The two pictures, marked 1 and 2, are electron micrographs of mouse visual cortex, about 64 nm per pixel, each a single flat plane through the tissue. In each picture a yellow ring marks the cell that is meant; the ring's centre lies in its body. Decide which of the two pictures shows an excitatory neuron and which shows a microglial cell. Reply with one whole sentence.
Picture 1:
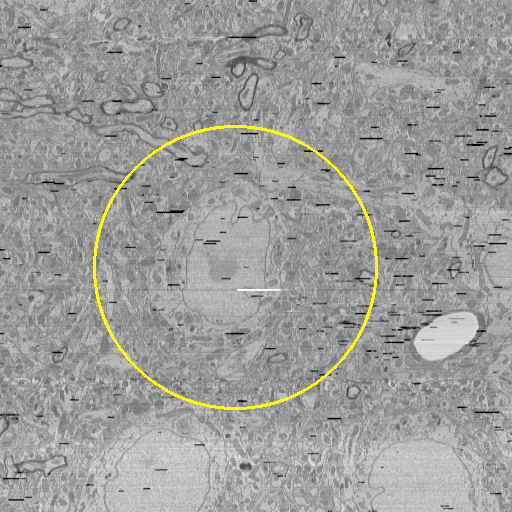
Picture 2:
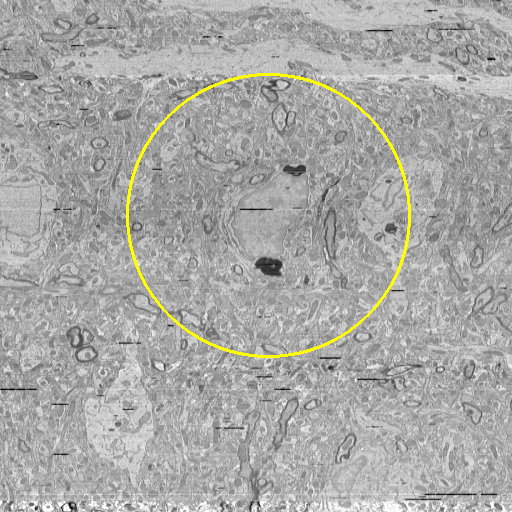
The cell in picture 1 is an excitatory neuron, and the one in picture 2 is a microglial cell.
